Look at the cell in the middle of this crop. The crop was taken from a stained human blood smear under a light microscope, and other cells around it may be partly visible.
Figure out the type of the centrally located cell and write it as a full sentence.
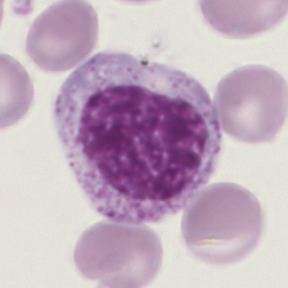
By classification, the middle cell of this crop is a myelocyte.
